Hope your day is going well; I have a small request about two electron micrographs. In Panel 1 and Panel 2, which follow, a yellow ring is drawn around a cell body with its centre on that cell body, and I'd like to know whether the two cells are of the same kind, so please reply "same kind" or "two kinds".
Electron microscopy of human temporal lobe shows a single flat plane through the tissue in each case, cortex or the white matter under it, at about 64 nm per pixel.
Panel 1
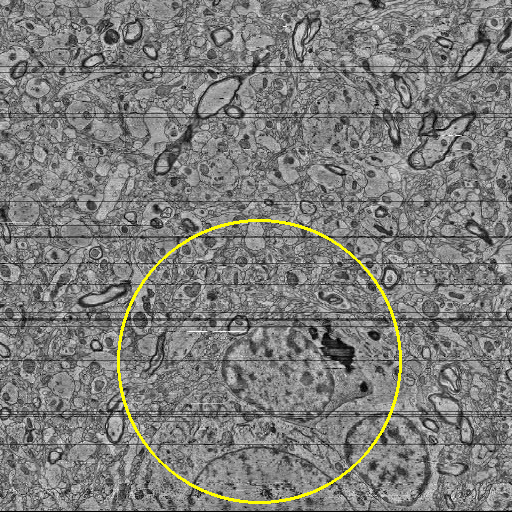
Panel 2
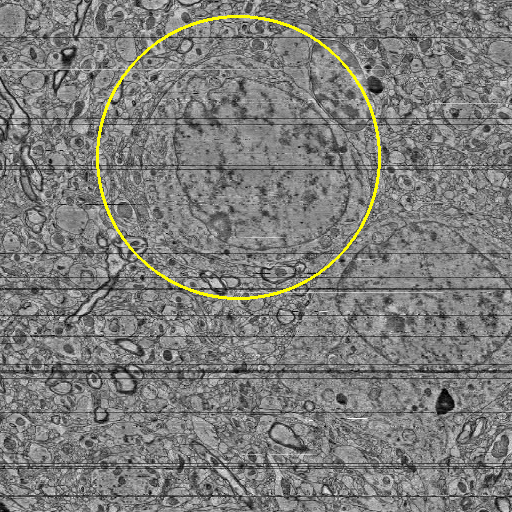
two kinds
